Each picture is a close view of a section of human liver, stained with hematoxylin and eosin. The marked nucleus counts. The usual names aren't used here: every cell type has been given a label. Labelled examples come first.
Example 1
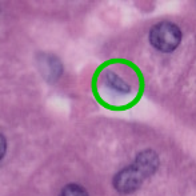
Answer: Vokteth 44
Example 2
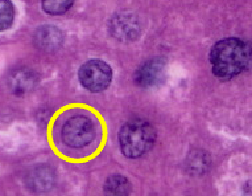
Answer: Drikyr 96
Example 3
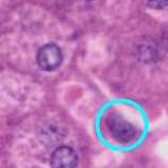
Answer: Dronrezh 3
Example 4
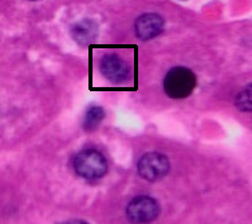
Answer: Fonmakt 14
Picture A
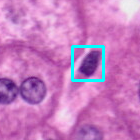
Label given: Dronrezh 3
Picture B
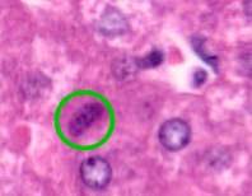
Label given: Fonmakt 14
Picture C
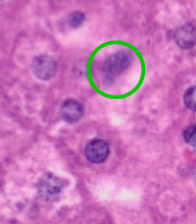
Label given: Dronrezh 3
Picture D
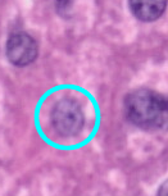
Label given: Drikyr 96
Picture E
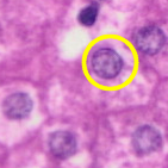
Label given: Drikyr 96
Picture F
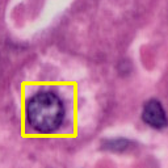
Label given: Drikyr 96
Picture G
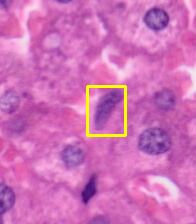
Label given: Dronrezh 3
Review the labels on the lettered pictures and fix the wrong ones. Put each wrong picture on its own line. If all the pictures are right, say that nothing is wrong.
All labels are correct.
